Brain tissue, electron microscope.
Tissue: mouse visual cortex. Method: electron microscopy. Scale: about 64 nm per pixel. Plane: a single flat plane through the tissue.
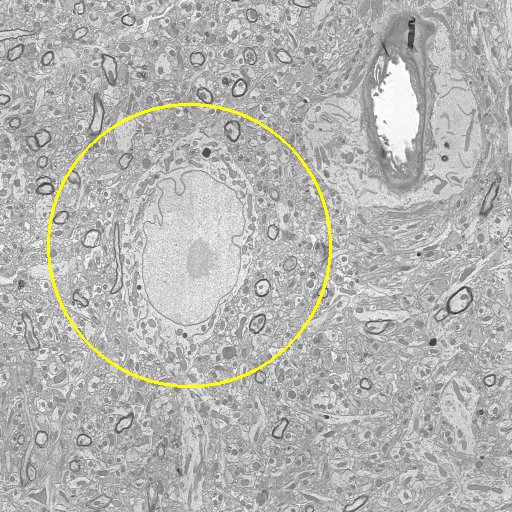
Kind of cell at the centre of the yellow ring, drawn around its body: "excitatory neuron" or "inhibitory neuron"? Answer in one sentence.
The ring's centre falls on an inhibitory neuron.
